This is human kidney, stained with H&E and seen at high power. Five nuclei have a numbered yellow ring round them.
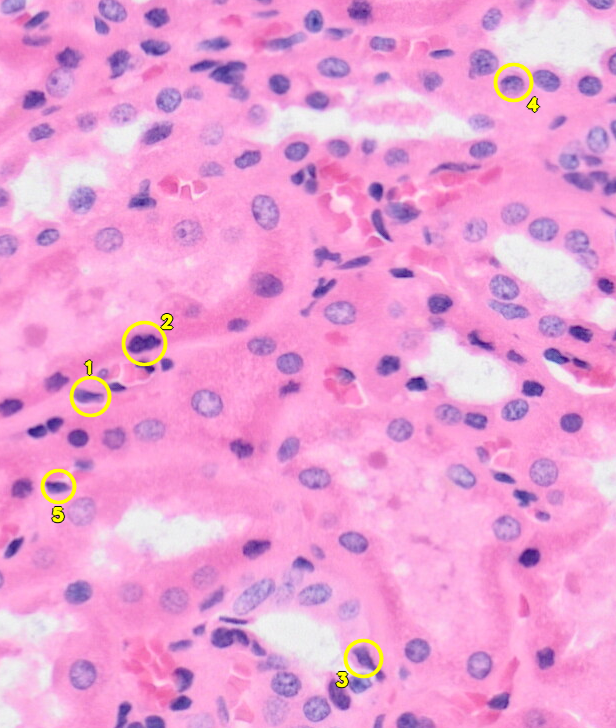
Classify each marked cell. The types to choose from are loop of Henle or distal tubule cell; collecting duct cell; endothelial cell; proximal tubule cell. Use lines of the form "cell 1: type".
cell 1: endothelial cell
cell 2: proximal tubule cell
cell 3: collecting duct cell
cell 4: loop of Henle or distal tubule cell
cell 5: endothelial cell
